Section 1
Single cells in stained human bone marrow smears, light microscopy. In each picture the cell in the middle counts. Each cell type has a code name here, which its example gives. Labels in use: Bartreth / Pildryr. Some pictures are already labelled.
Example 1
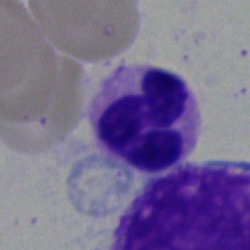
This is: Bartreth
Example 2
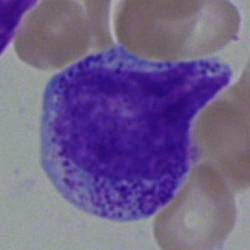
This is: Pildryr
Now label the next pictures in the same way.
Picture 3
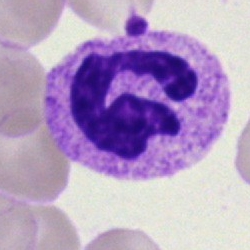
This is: Bartreth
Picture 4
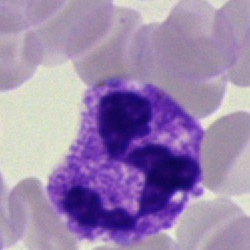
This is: Bartreth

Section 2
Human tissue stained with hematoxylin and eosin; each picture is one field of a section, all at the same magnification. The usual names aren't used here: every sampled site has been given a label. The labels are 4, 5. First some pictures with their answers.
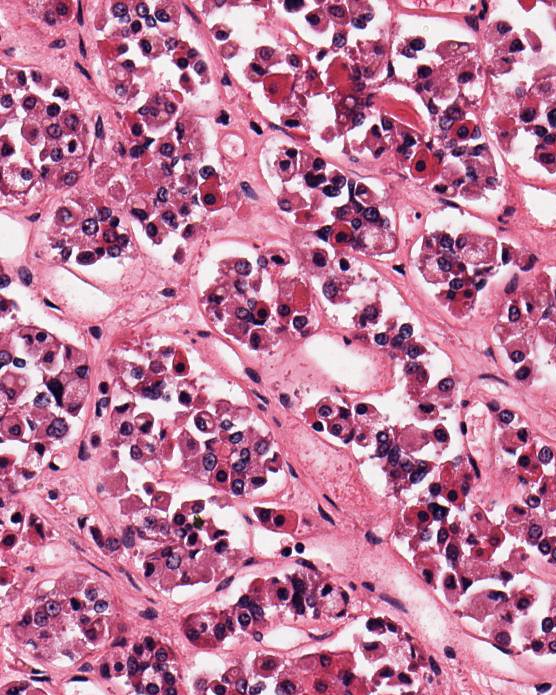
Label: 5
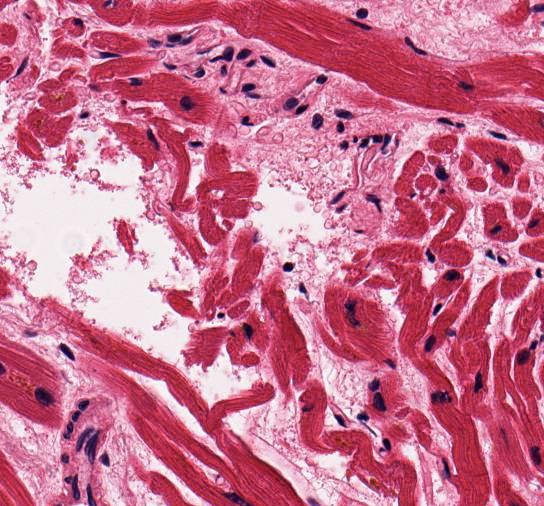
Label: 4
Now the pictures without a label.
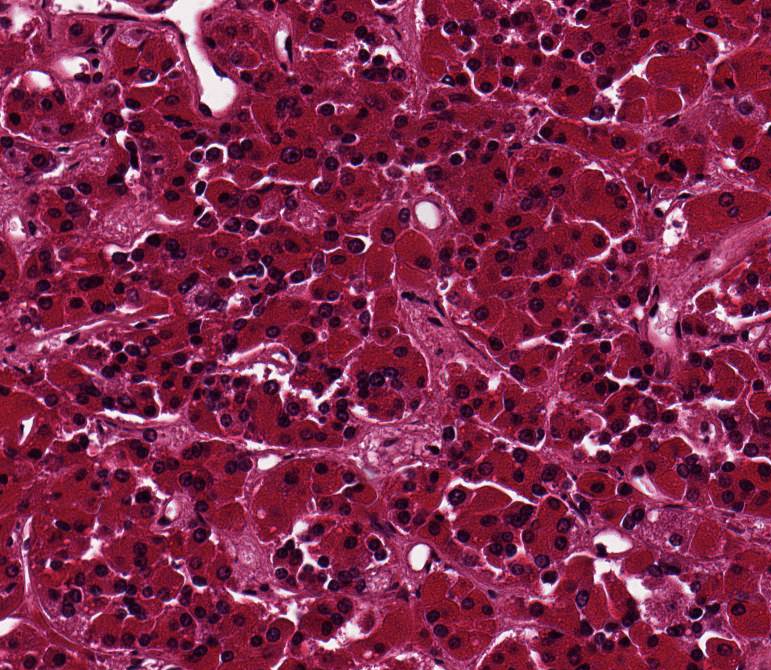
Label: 5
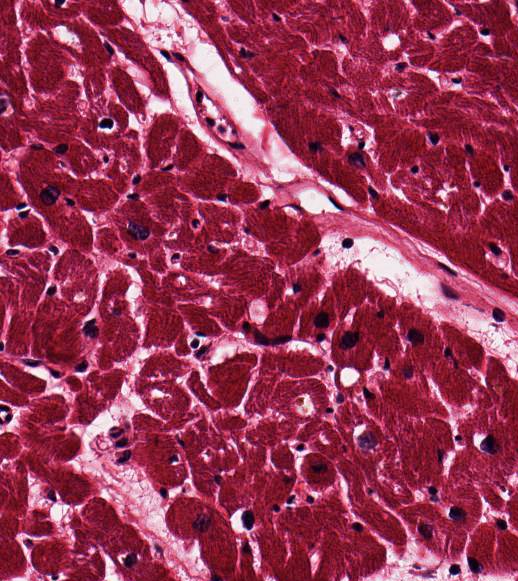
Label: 4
